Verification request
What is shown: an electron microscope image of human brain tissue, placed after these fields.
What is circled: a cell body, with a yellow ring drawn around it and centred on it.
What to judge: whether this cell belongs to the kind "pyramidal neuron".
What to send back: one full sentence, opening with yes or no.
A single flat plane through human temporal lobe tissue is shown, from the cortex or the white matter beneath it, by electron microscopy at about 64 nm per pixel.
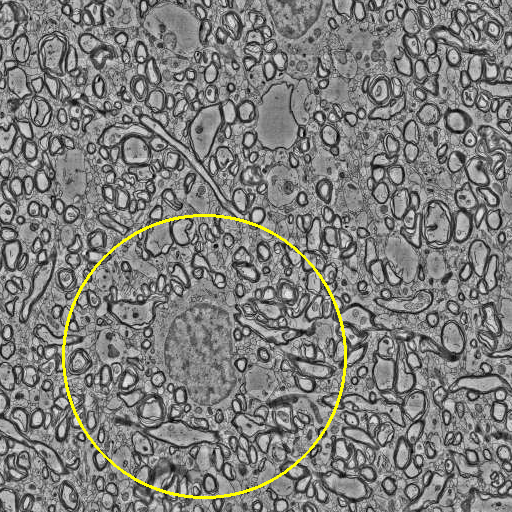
No, the cell on which the yellow ring is centred in the picture is of a different kind.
